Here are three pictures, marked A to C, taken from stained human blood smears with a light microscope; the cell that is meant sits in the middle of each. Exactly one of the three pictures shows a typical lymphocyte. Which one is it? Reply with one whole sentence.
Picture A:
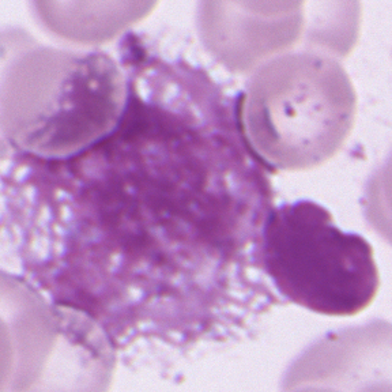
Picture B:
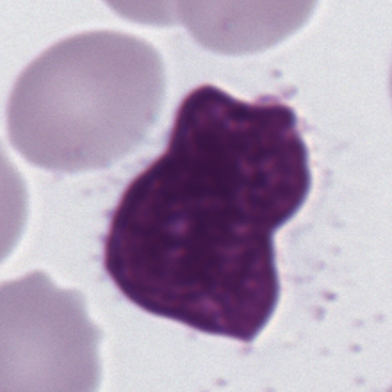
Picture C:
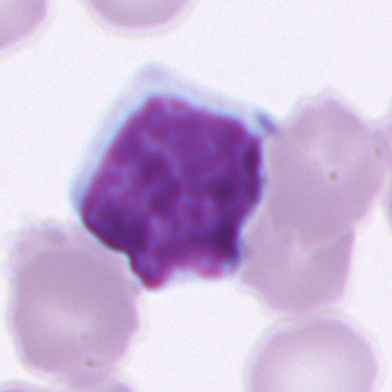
Picture C is the one that shows the typical lymphocyte.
